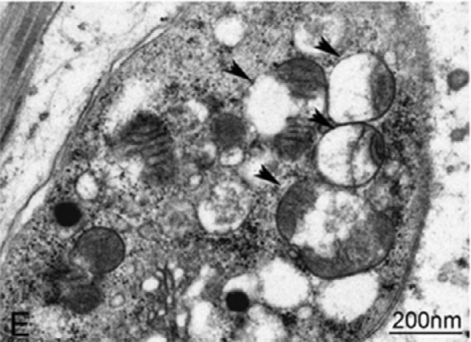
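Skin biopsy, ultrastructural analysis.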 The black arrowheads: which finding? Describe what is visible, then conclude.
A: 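Mitochondrial alteration. The arrowheads point to round organelles with pale, cleared matrix. Cristae are lost or pushed to one side in these organelles, unlike nearby darker organelles with cristae.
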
